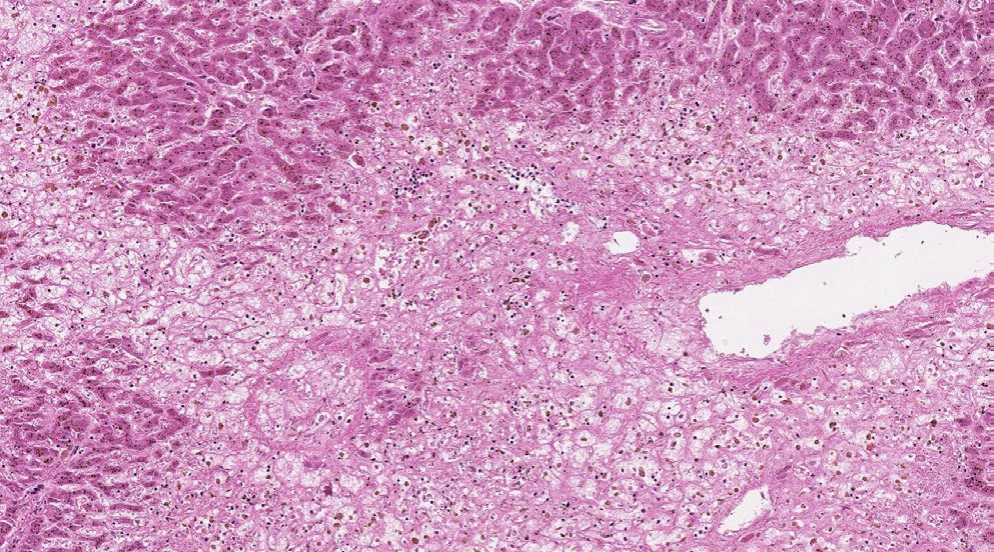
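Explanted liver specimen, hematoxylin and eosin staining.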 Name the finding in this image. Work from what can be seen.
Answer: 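Massive hepatocyte loss. A broad pale zone across the middle of the field lacks intact plates of liver cells. The pale zone holds loose pink strands, scattered small dark nuclei and brown pigmented cells.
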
